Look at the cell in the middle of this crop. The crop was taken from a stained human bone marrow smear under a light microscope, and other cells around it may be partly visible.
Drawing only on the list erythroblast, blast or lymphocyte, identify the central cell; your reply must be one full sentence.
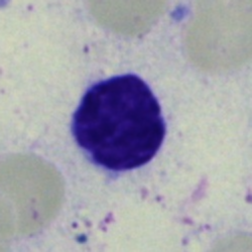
The single cell at the center of the crop is a lymphocyte.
